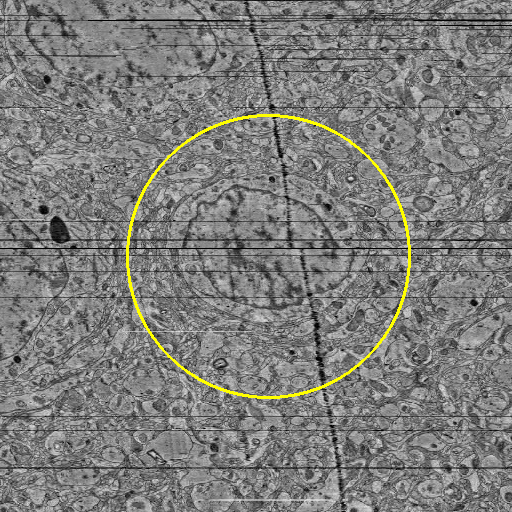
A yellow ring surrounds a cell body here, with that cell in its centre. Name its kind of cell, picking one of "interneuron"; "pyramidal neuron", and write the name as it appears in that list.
pyramidal neuron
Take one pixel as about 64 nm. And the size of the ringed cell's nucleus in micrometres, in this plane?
The nucleus has a long axis of about 11 micrometres and a short axis of about 8 micrometres in this plane.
